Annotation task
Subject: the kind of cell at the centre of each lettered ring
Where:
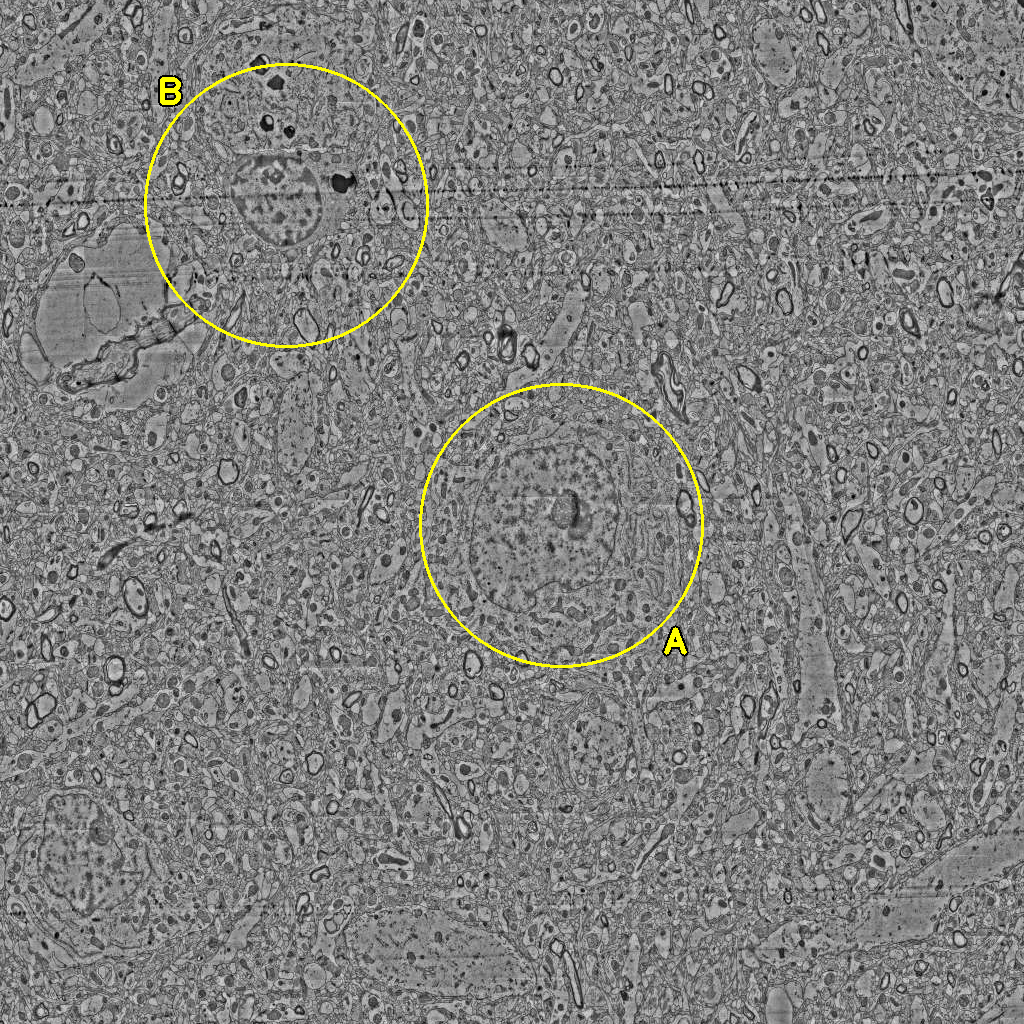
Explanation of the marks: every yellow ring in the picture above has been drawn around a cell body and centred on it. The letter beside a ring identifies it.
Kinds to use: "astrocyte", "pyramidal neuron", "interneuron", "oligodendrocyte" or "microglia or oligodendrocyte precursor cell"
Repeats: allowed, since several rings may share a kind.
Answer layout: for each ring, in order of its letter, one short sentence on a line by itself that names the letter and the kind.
The ring lettered A is drawn around an interneuron.
The ring lettered B is drawn around an oligodendrocyte.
